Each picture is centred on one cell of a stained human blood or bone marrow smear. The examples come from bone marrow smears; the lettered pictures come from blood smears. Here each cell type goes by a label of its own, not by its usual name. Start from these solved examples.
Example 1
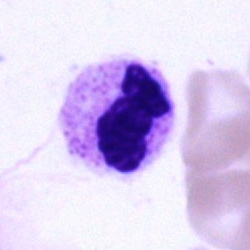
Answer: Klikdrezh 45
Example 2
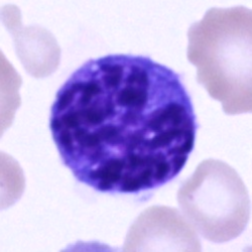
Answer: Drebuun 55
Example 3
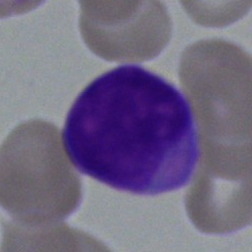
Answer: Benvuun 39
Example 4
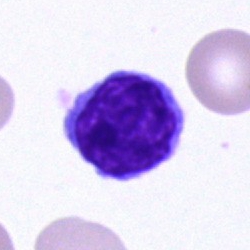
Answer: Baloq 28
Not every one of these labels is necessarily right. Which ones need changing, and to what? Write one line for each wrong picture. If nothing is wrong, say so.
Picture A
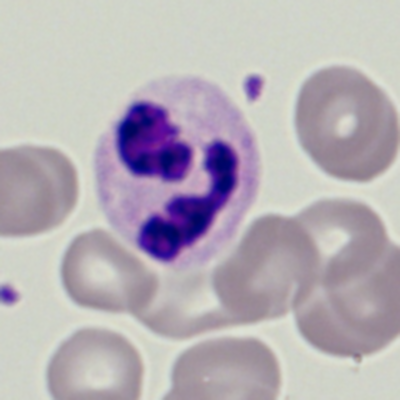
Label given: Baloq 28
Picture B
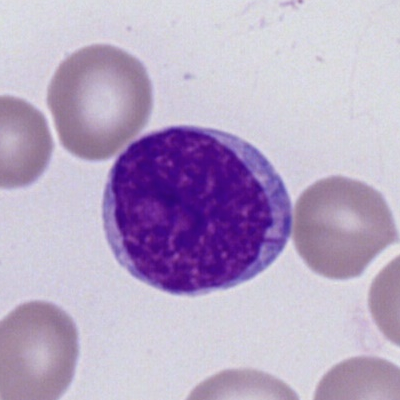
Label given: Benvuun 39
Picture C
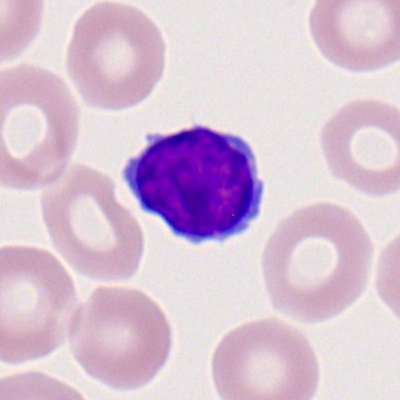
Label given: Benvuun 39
A is labelled Baloq 28; correct label: Klikdrezh 45
C is labelled Benvuun 39; correct label: Baloq 28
